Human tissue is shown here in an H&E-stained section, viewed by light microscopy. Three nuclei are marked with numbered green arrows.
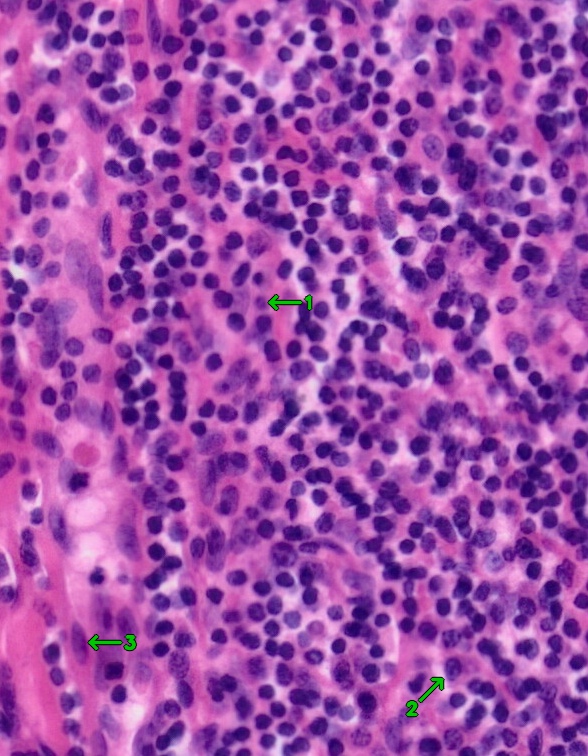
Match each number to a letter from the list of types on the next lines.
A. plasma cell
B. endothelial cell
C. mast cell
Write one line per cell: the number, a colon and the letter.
1: B
2: A
3: B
